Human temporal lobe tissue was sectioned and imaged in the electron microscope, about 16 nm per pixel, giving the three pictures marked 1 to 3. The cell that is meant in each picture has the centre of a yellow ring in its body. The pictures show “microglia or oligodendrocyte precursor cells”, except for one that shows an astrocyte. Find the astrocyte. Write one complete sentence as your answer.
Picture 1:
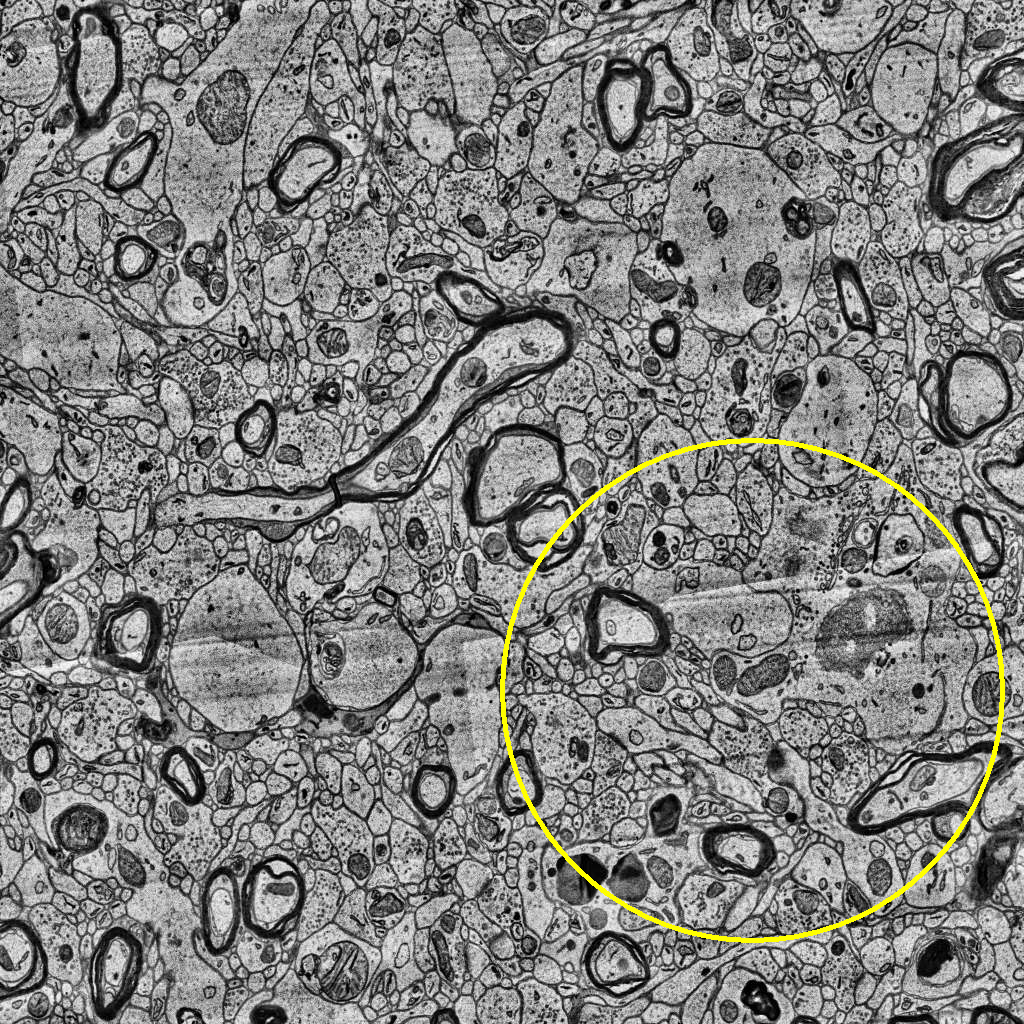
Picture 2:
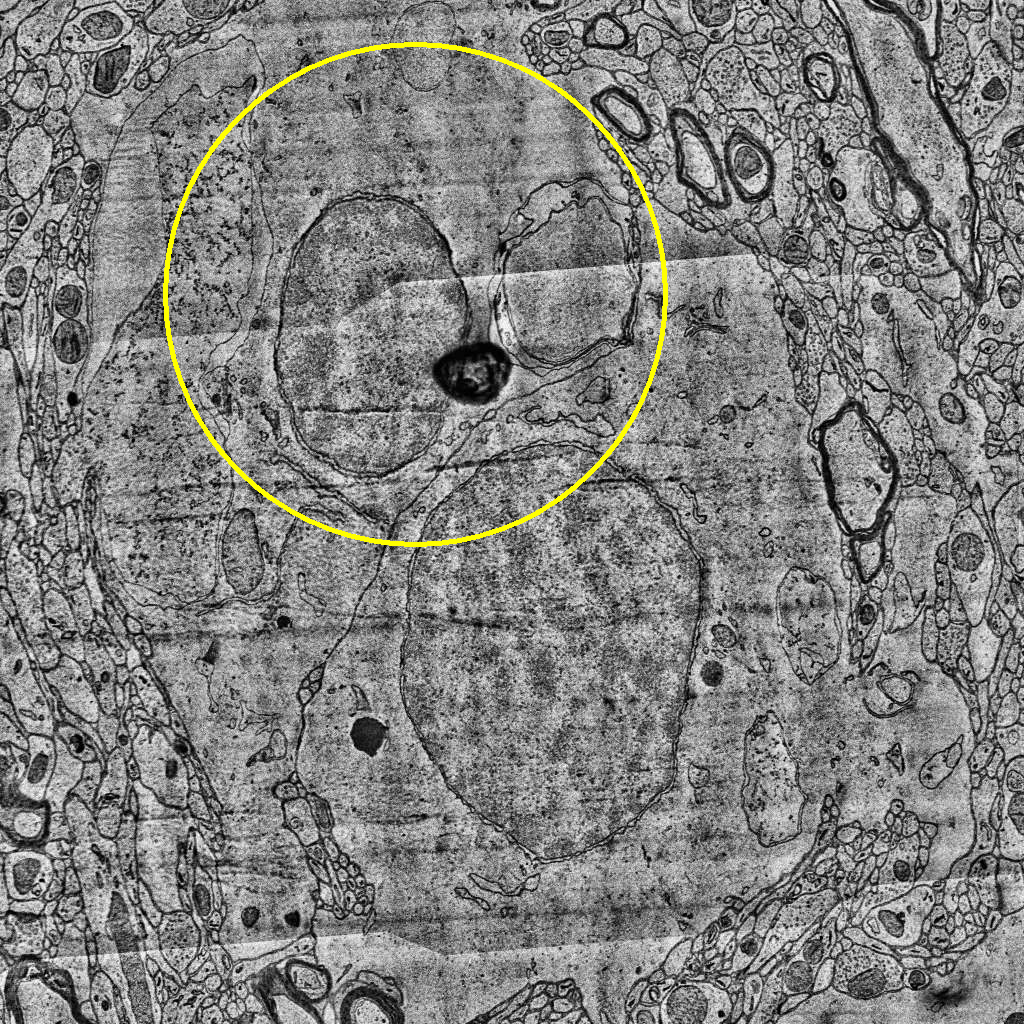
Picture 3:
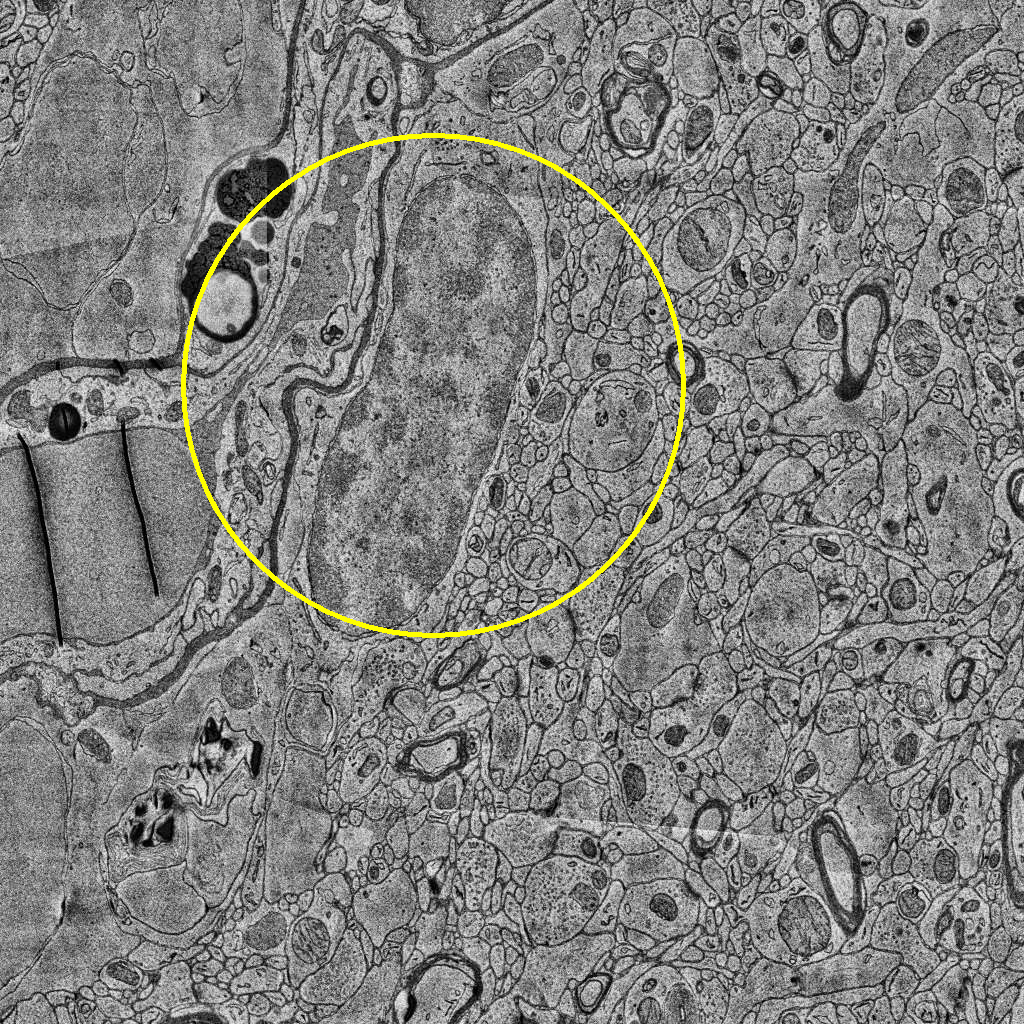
The astrocyte is the one in picture 2.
